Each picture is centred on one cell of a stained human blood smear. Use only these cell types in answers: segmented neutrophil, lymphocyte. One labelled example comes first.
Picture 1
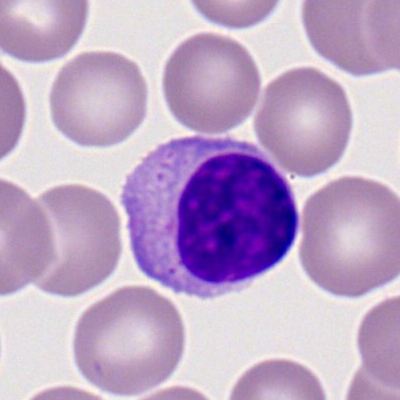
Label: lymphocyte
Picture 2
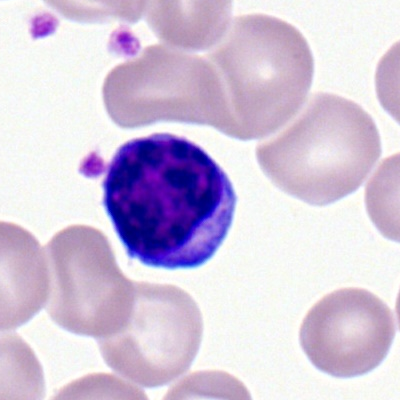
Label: lymphocyte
